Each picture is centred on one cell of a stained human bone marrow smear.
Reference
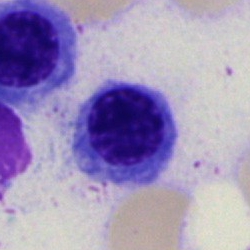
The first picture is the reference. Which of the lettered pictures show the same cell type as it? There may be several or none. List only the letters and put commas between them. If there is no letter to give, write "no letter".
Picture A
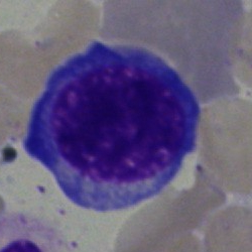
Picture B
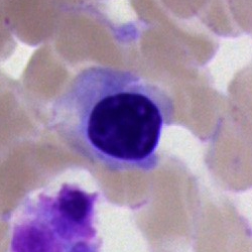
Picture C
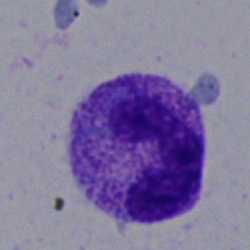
A, B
